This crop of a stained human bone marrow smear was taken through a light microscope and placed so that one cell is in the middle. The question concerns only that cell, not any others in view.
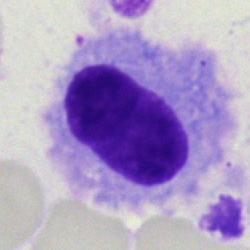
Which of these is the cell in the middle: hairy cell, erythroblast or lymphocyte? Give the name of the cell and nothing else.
hairy cell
